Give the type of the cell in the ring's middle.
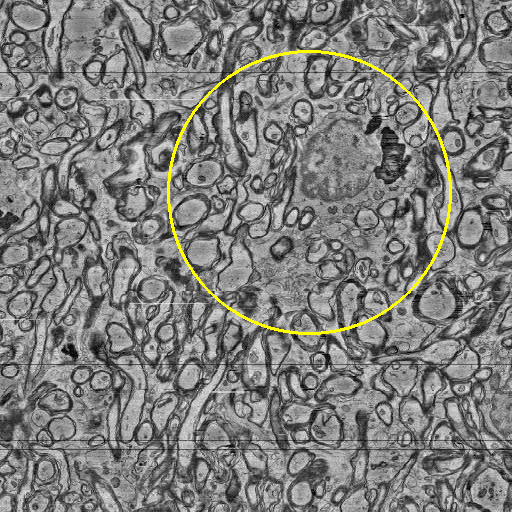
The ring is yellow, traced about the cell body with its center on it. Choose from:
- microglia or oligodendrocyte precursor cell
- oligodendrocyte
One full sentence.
Here, an oligodendrocyte is the cell lying at the center of the yellow ring.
